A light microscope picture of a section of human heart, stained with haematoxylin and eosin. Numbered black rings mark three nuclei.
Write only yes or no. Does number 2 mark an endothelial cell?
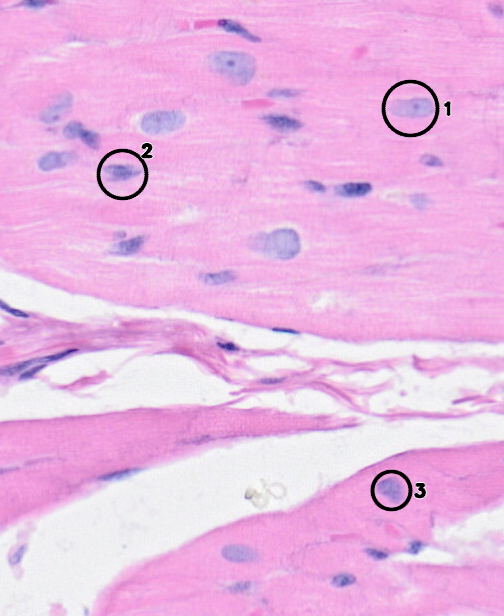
yes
